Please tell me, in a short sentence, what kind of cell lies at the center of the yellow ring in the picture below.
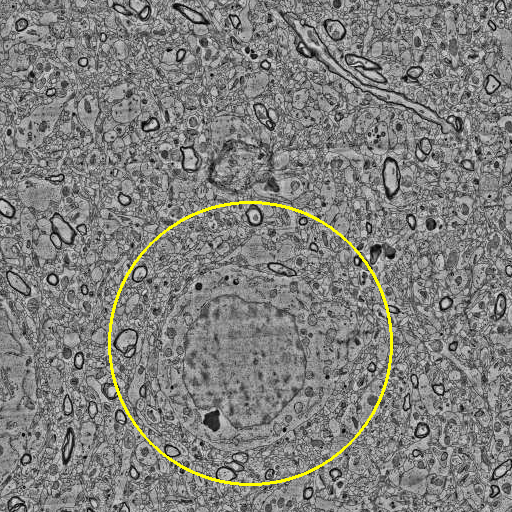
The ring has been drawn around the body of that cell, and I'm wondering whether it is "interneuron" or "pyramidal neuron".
The cell at the center of the ring is an interneuron.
